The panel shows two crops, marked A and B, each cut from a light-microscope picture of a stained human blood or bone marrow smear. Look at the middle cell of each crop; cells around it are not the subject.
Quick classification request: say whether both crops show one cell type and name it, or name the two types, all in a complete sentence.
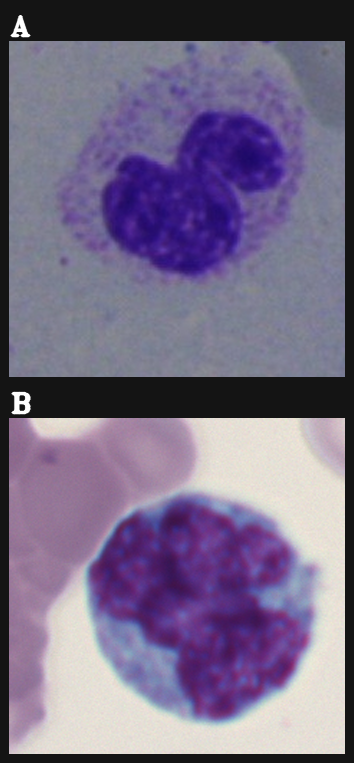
No, in crop B the central cell is a monocyte, and in crop A it is a segmented neutrophil.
